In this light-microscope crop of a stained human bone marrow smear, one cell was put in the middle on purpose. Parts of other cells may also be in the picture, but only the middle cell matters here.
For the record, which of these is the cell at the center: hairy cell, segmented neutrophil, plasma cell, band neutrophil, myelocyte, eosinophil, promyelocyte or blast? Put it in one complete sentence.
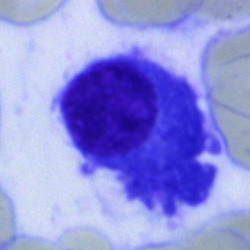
Answering briefly, the cell in the middle is a plasma cell.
